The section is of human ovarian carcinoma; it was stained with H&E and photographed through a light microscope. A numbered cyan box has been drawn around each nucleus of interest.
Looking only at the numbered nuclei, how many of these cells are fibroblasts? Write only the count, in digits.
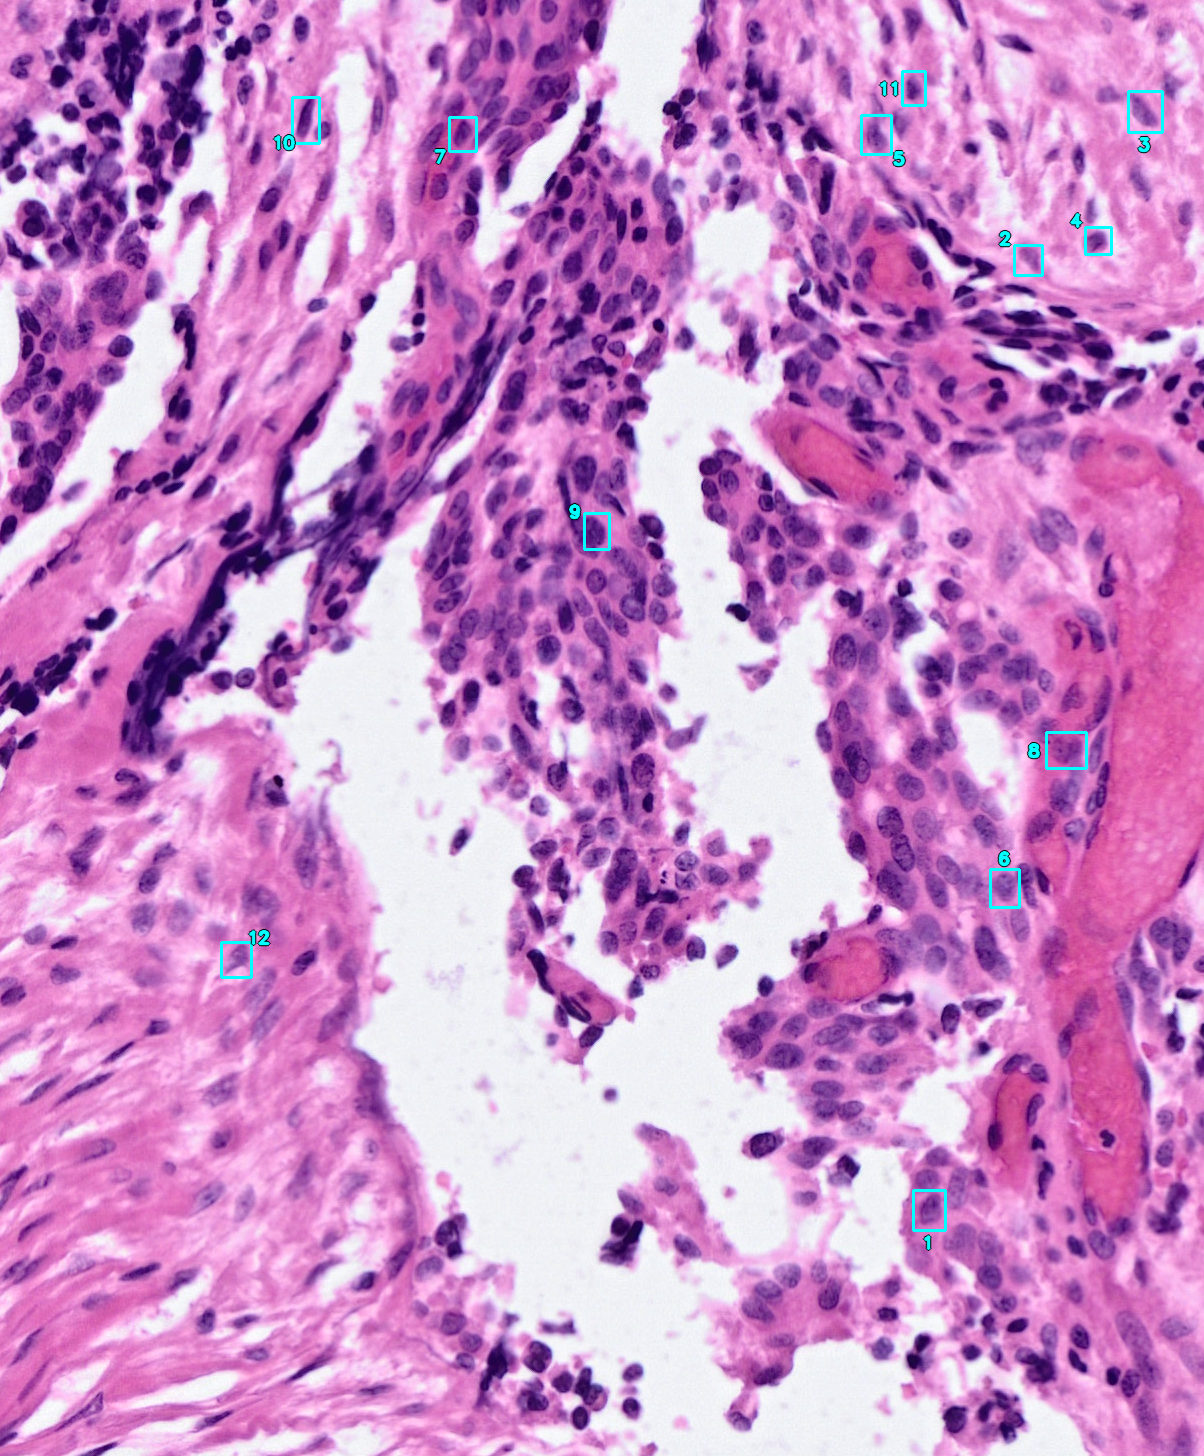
7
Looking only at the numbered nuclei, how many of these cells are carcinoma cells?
3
